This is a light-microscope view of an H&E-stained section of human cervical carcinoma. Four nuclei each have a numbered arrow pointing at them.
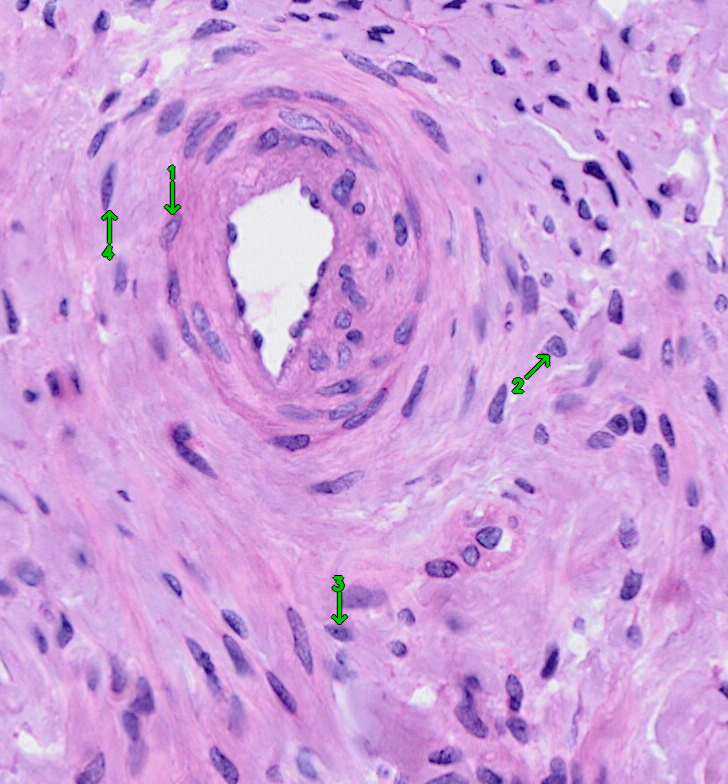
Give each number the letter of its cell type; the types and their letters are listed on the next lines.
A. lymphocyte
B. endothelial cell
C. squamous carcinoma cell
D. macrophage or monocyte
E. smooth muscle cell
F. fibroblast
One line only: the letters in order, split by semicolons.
E; F; F; F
